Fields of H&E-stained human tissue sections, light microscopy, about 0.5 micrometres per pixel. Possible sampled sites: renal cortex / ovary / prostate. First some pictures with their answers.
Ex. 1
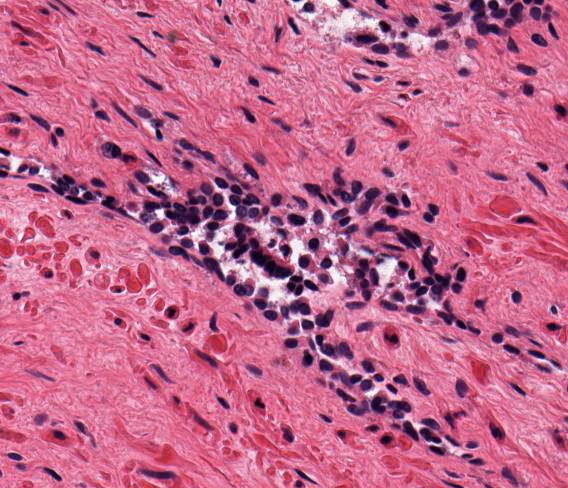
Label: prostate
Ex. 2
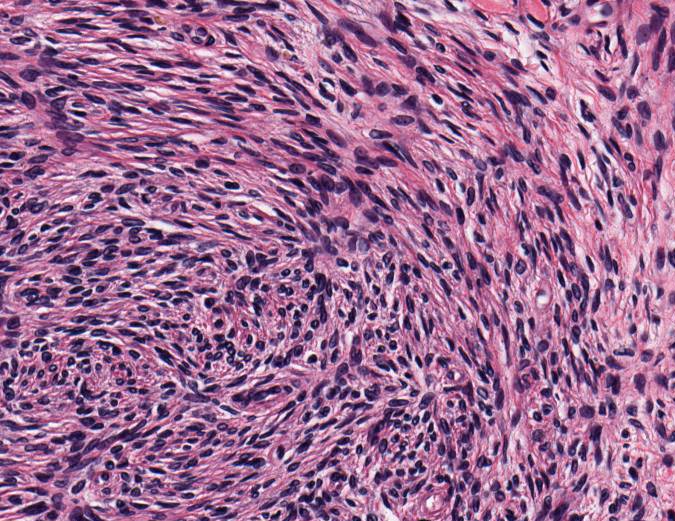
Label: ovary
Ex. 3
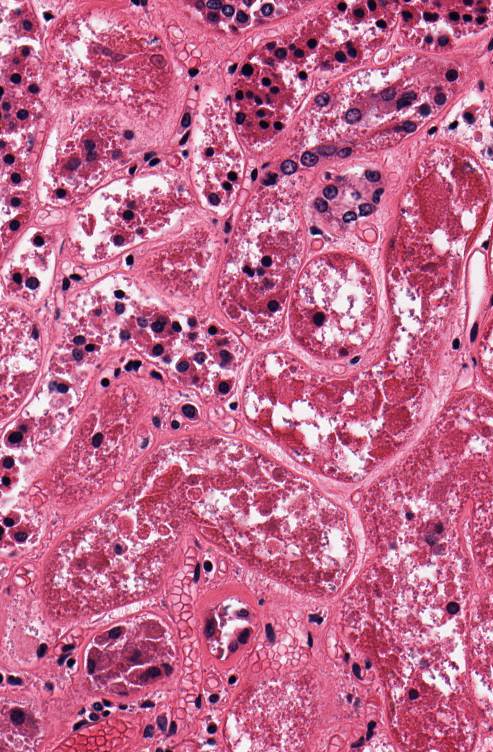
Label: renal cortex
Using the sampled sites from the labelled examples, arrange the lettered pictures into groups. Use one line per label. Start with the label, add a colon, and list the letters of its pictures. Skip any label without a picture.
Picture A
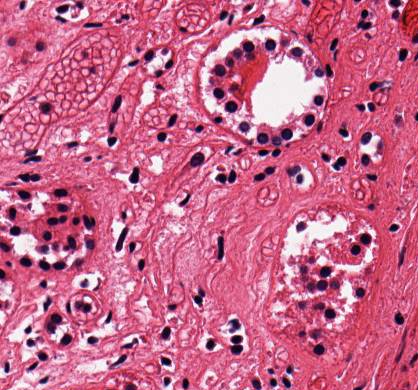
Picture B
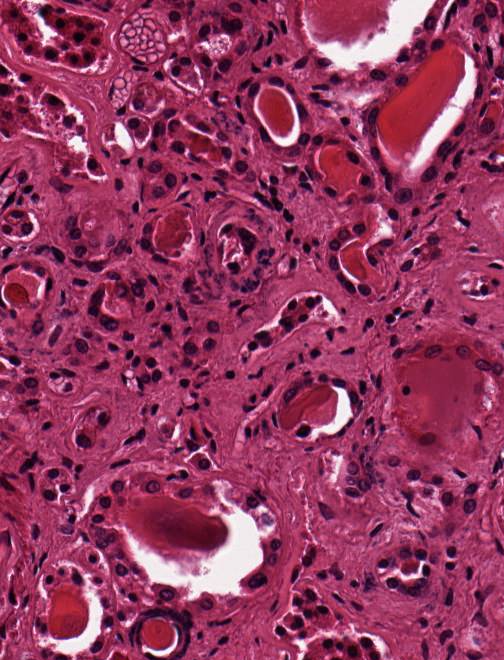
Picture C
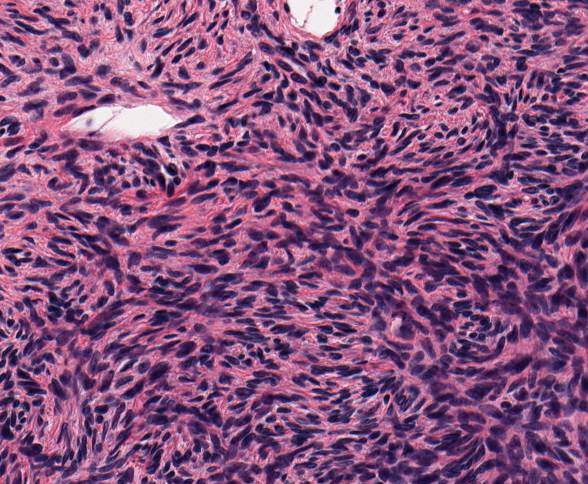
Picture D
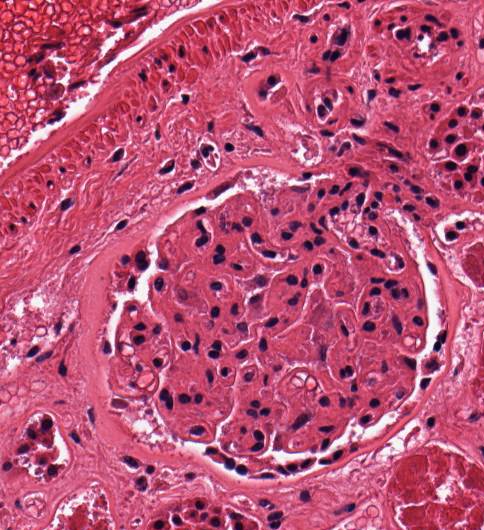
renal cortex: A, B, D
ovary: C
